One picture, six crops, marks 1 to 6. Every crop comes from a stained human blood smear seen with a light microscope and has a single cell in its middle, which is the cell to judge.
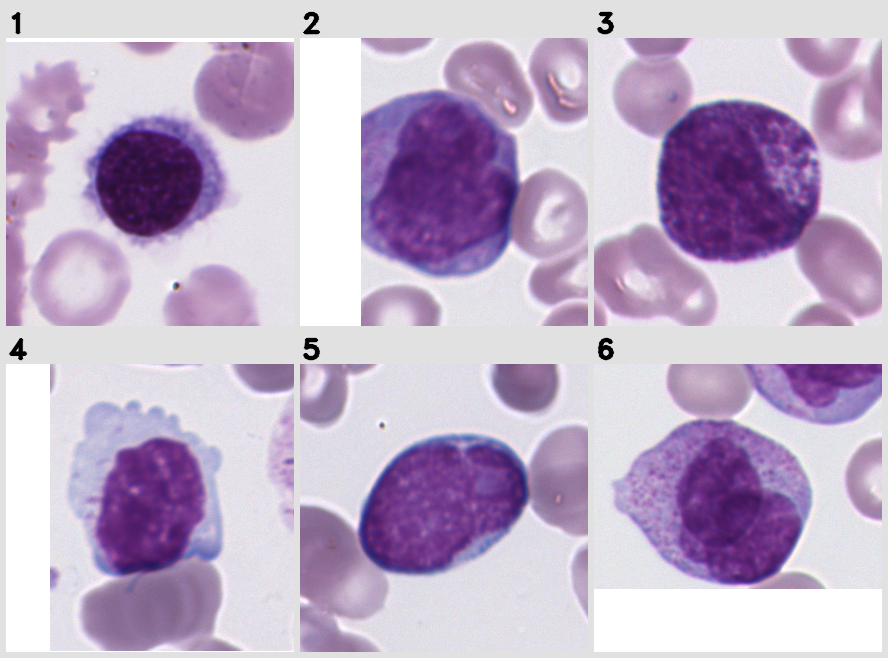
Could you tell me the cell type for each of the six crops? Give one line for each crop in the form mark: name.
1: hairy cell
2: atypical promyelocyte
3: myelocyte
4: large granular lymphocyte
5: myeloblast
6: atypical promyelocyte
